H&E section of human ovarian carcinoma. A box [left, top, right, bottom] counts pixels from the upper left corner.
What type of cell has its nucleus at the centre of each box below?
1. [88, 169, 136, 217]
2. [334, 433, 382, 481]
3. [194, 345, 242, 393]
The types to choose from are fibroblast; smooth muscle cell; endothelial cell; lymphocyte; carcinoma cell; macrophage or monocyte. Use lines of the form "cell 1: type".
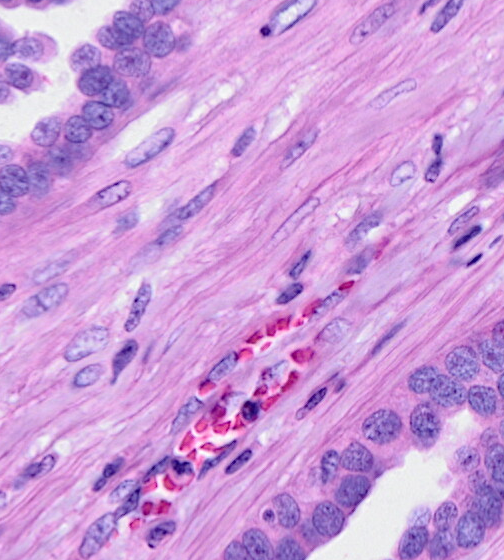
cell 1: fibroblast
cell 2: carcinoma cell
cell 3: endothelial cell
